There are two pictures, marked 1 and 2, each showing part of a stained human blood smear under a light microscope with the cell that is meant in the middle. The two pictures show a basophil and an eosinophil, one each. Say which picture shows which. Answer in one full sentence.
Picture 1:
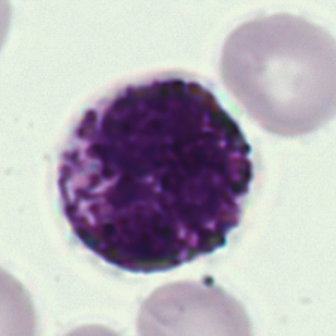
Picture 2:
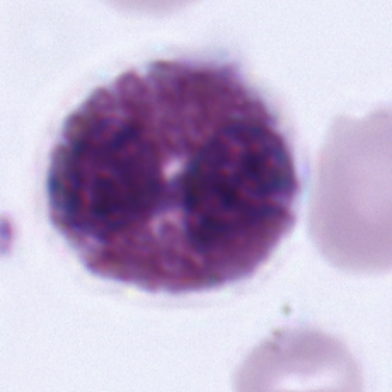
Picture 2 shows an eosinophil, while picture 1 shows a basophil.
